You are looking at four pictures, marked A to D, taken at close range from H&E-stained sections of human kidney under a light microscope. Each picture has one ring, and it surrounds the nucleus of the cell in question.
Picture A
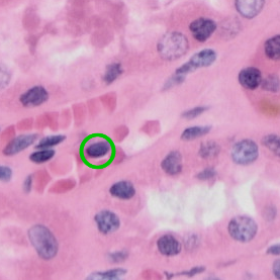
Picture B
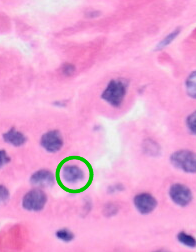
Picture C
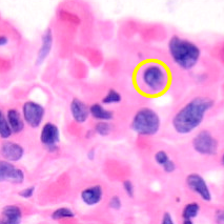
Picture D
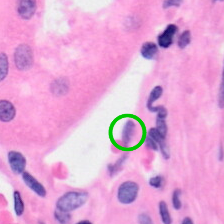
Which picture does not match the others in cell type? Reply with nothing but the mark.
B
